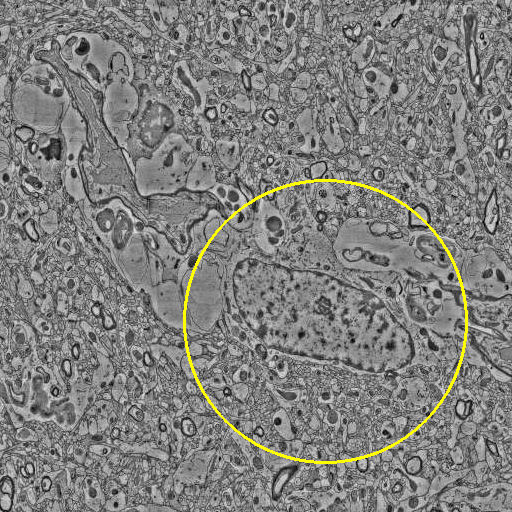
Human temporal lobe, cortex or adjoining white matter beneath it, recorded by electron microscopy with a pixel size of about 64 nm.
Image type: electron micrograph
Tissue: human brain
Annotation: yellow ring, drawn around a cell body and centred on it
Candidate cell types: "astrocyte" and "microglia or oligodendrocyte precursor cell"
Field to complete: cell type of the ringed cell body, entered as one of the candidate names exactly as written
microglia or oligodendrocyte precursor cell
